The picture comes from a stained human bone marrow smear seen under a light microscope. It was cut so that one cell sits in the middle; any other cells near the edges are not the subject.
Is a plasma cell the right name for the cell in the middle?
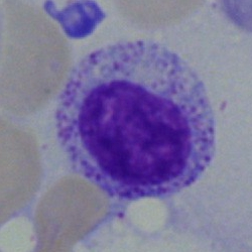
no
